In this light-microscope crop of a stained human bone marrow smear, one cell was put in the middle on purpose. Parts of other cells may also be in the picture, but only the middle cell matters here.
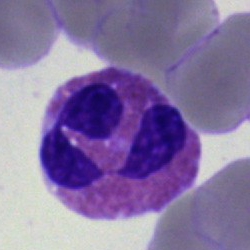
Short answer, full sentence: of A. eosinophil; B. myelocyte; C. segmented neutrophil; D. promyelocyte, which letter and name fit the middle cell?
What sits in the middle of the crop is an eosinophil, and option A is correct.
